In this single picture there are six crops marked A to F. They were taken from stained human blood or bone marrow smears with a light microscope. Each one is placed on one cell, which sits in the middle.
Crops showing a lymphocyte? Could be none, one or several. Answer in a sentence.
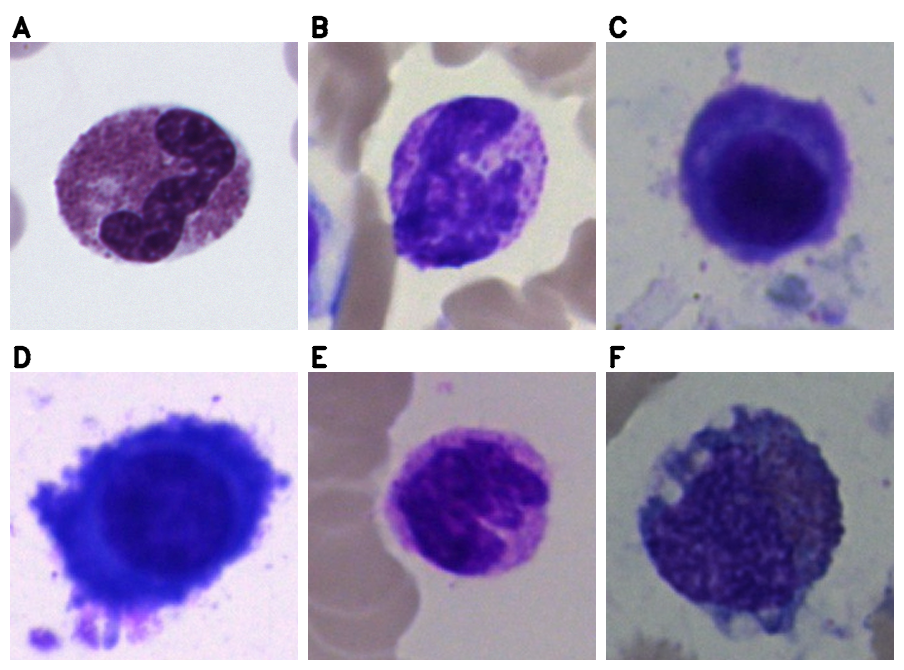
In none of the crops is the central cell a lymphocyte.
